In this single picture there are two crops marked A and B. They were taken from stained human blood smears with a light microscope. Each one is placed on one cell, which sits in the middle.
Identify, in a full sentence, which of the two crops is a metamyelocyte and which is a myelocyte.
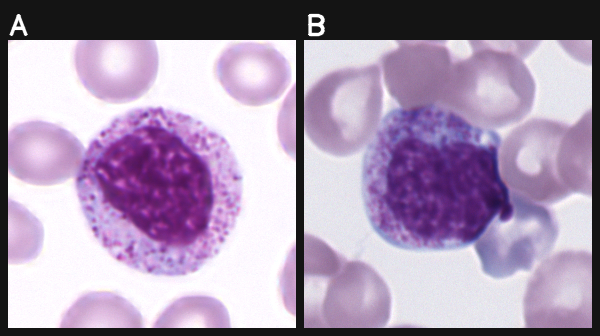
In crop A there is a metamyelocyte, and in crop B there is a myelocyte.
